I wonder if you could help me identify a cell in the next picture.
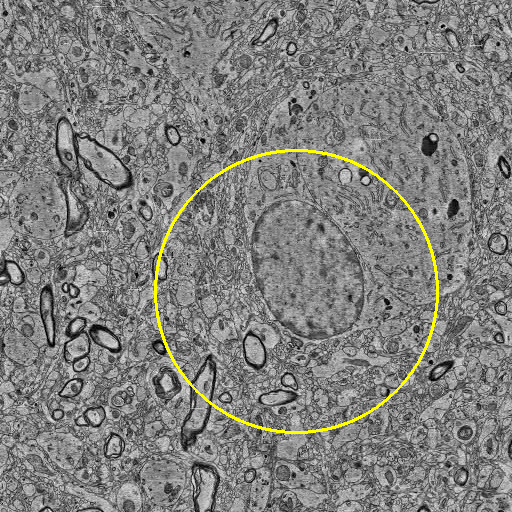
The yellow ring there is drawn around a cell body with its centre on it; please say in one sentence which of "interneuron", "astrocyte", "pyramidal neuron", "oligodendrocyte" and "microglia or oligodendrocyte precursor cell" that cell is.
The yellow ring is centred on a microglial cell or oligodendrocyte precursor cell.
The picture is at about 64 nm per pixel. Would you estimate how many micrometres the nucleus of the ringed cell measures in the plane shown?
Approximately 9 x 7 micrometres in this plane.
